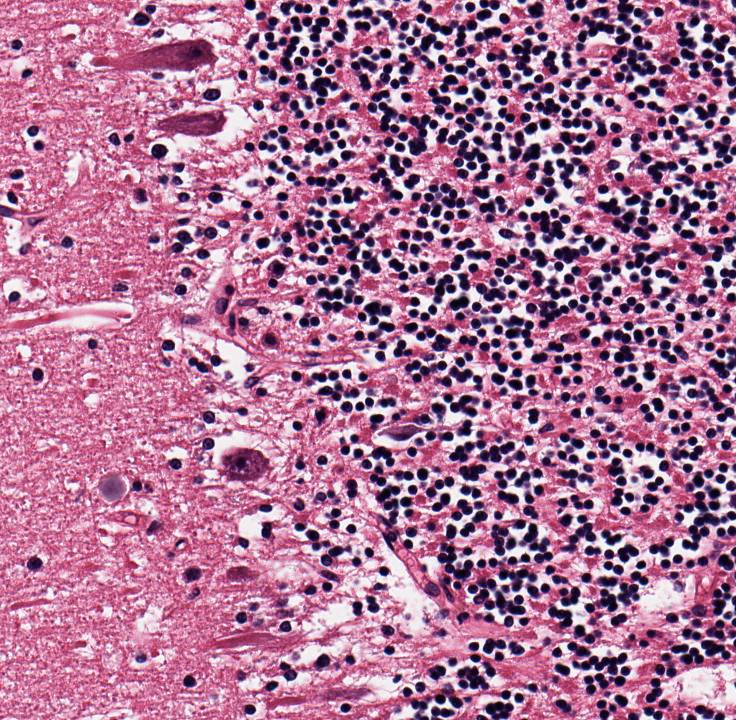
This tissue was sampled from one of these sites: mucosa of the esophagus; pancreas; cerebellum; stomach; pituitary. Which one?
cerebellum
